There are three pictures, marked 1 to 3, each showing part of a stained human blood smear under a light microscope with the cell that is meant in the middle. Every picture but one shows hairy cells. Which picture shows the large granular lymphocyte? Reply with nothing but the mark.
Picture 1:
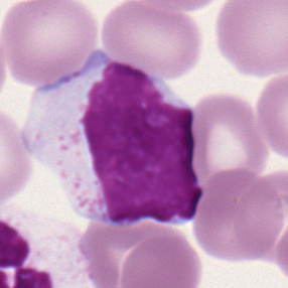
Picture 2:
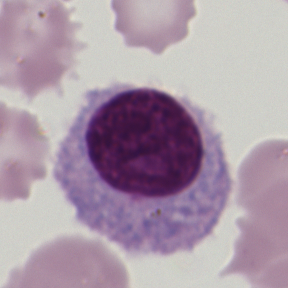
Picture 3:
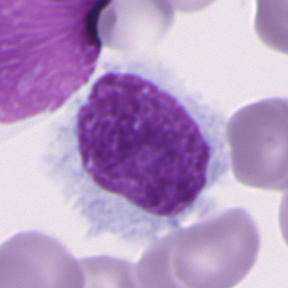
1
